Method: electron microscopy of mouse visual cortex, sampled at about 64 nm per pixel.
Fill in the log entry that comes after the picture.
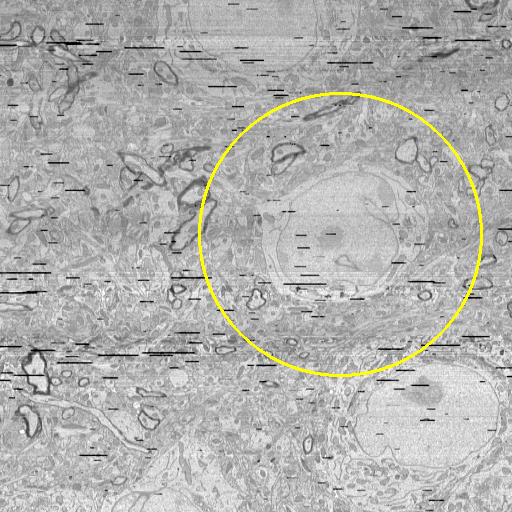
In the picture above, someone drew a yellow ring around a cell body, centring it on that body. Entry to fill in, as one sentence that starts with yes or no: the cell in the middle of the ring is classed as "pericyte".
No, the cell in the ring's centre in this image is of a different kind.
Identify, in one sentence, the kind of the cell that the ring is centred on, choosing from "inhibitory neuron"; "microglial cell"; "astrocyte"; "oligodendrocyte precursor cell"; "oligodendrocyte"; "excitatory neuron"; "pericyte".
Instead, the cell at the centre of the yellow ring is an excitatory neuron.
